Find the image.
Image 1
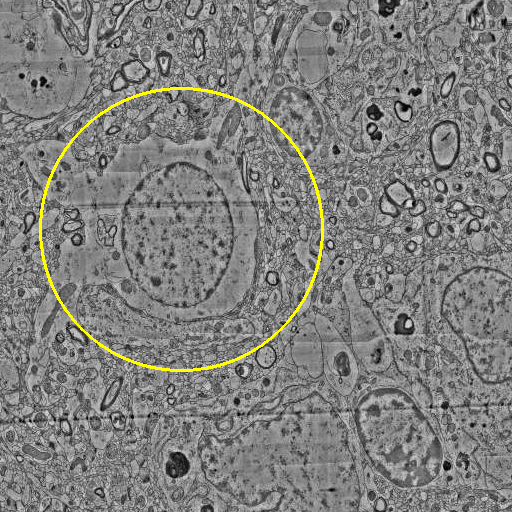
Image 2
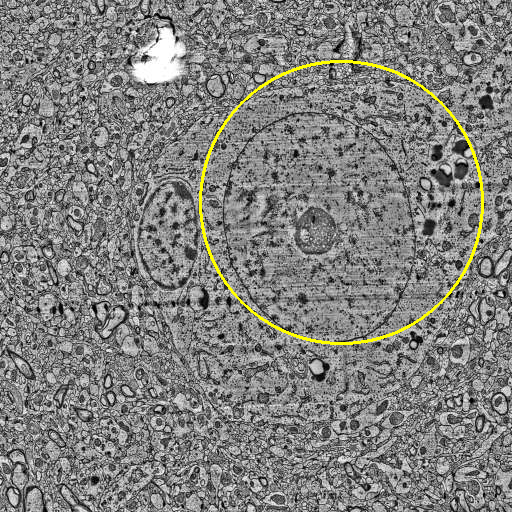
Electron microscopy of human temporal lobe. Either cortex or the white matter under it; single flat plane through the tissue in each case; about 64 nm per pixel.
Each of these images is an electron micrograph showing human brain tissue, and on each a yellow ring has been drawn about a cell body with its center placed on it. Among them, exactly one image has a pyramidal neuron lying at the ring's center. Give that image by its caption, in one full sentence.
The ring in Image 2 is centered on the cell the question describes.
